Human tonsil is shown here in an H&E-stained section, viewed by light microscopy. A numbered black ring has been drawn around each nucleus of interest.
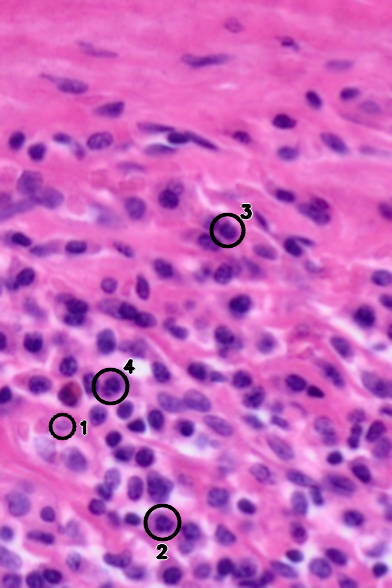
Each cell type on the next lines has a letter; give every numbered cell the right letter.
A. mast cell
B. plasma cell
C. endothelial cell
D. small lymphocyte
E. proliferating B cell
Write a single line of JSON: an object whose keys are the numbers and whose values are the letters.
{"1": "C", "2": "B", "3": "B", "4": "B"}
